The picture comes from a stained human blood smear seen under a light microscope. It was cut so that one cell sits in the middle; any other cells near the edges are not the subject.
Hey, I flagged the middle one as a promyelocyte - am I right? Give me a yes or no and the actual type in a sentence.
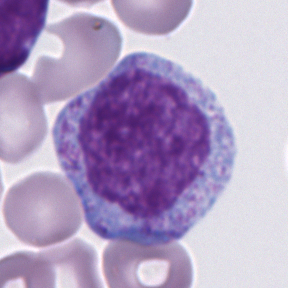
Yes, the cell sitting in the middle of this smear crop is a promyelocyte.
